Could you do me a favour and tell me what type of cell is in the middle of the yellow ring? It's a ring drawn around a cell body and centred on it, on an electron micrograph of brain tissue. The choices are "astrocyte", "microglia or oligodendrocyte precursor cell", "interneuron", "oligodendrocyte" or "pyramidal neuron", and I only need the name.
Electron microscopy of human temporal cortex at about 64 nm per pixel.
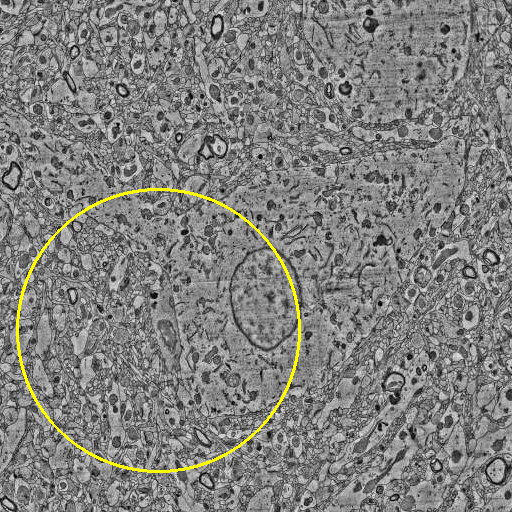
oligodendrocyte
